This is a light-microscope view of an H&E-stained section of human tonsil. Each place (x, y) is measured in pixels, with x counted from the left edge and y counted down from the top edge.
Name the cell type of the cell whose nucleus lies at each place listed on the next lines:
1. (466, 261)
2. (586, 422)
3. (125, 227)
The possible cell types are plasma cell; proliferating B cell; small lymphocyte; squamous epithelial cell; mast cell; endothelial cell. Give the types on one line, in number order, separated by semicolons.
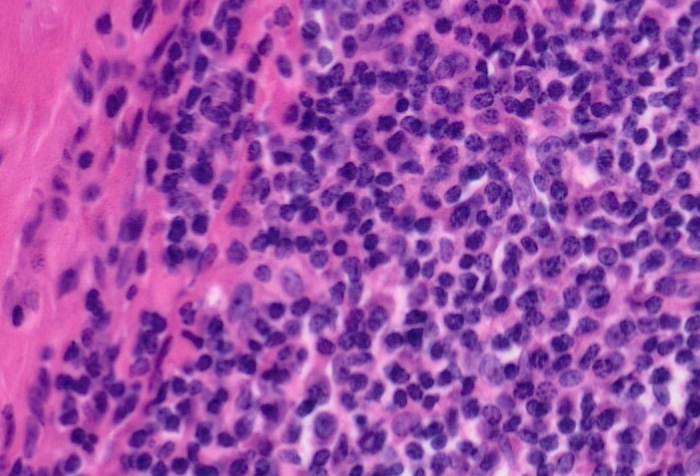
small lymphocyte; small lymphocyte; endothelial cell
